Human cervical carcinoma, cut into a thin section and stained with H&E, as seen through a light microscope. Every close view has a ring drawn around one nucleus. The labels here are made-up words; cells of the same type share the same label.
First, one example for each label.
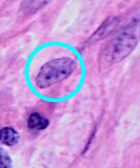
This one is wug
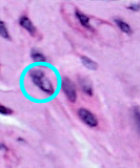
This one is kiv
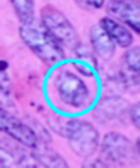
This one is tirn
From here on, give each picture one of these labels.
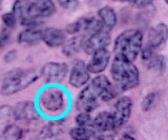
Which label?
tirn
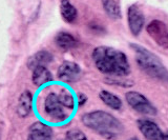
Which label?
tirn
